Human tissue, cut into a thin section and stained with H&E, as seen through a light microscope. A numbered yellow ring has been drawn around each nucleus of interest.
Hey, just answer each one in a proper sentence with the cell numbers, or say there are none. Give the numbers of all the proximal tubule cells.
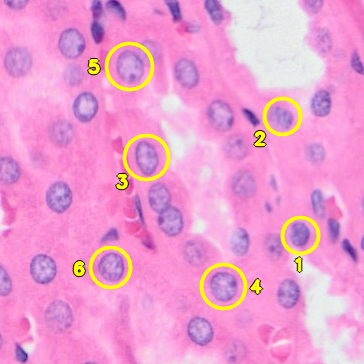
Cells 3, 4, 5 and 6 are proximal tubule cells by cell type.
